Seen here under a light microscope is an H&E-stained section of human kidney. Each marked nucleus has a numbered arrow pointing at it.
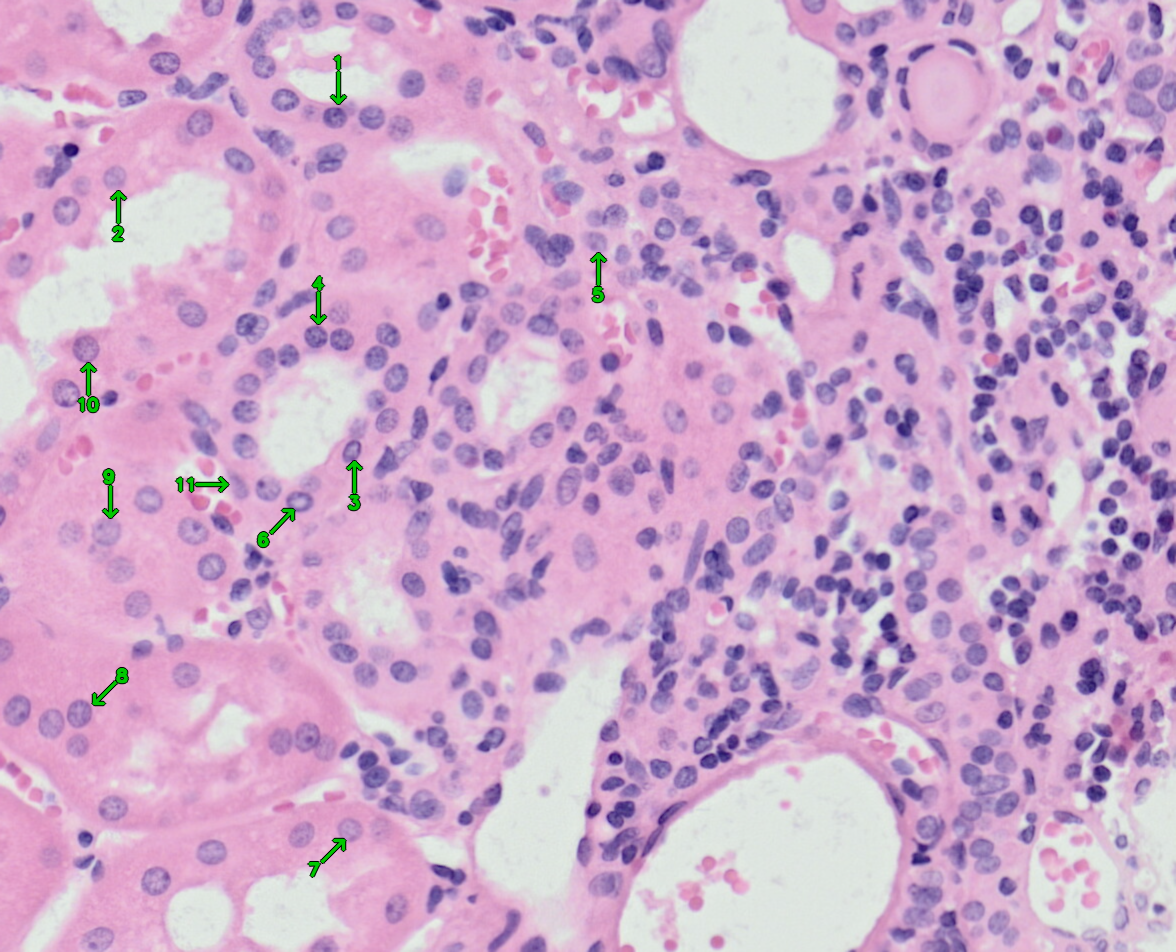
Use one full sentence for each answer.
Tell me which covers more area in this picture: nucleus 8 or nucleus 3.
Nucleus 8 covers more area, about 1.5 times as much as nucleus 3.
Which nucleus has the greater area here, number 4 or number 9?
Of the two, number 9 is bigger and takes up about 1.5 times the area of number 4.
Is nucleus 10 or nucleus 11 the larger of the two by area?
Nucleus 10 covers more area, about 1.5 times as much as nucleus 11.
